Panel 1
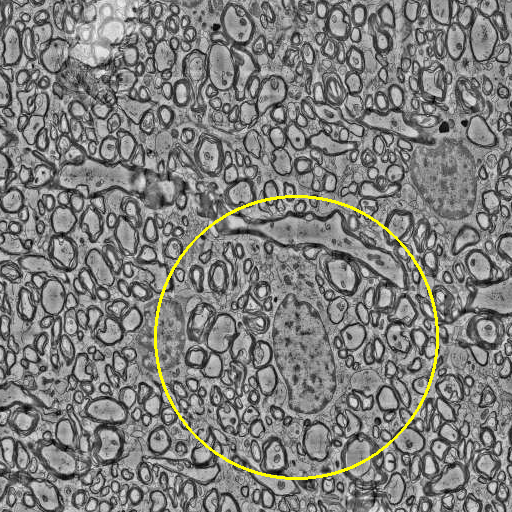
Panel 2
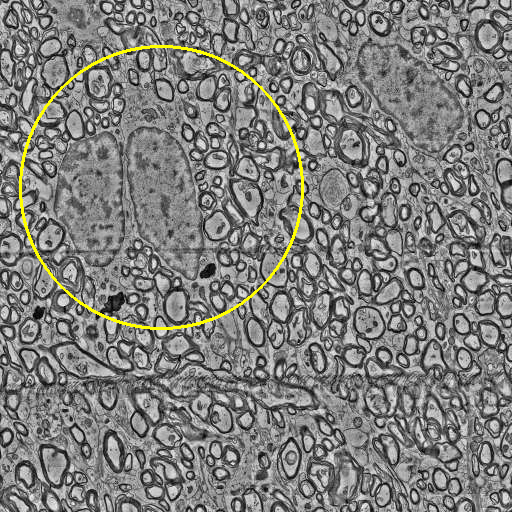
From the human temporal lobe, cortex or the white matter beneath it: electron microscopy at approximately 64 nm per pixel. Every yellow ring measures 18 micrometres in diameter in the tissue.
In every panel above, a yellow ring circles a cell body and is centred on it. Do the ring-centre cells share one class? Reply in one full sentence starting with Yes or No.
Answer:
No, the two cells at the ring centres in the panels belong to two classes.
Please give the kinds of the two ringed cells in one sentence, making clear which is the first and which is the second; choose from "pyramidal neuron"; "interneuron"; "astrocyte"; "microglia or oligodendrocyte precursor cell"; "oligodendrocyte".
In the second picture the ringed cell is an oligodendrocyte; in the first it is a microglial cell or oligodendrocyte precursor cell.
